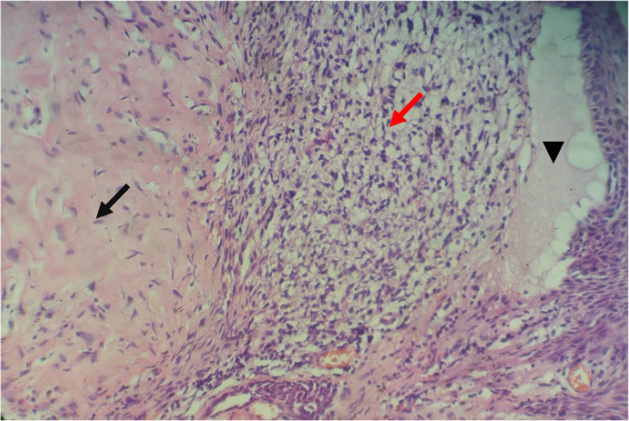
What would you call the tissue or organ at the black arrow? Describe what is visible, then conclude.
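The black arrow lies in pale pink, collagen-rich stroma. Few scattered spindle-shaped nuclei lie in it.
Dense fibrous tissue.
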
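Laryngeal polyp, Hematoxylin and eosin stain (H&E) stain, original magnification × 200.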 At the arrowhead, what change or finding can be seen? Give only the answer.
Edema.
